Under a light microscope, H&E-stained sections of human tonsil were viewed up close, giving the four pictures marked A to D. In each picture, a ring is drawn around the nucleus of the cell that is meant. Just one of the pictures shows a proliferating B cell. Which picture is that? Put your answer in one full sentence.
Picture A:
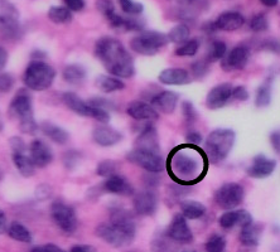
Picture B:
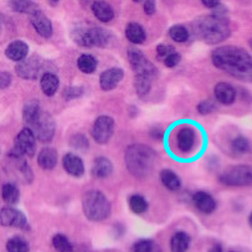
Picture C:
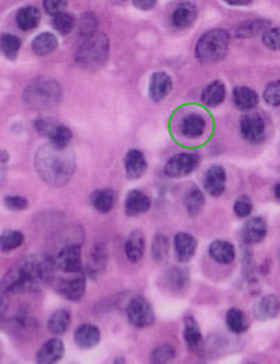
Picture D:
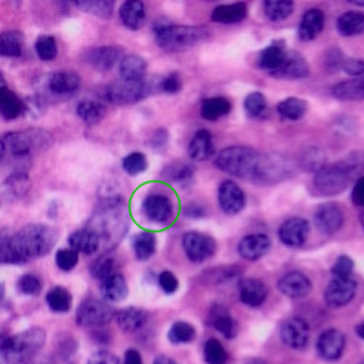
The picture with the proliferating B cell is A.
